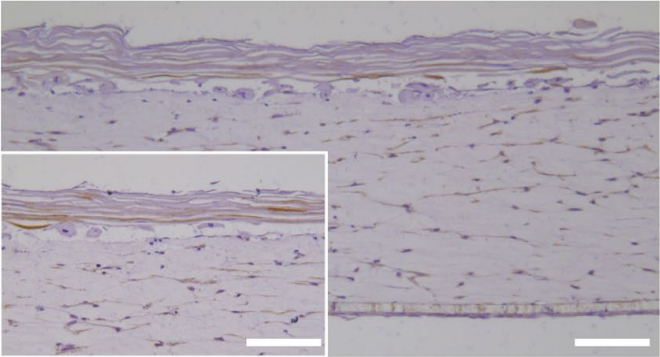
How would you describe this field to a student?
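Here a skin equivalent shows a thin epidermis over a pale dermal matrix. The top is taken up by many thin, wavy, flattened layers stacked on each other, stained pale purple with only faint brown streaks. The dermal matrix is loose and pale, holding scattered spindle-shaped cells with slender nuclei and long, thin processes running roughly parallel to the surface, some of them tinged brownish. A thin porous membrane lies along the bottom.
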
